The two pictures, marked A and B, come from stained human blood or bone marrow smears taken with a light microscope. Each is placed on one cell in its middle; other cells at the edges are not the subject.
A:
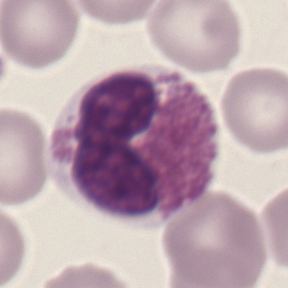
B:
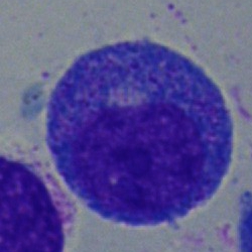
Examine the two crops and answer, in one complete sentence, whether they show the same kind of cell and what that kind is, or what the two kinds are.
No, an eosinophil is in crop A, and a promyelocyte is in crop B.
